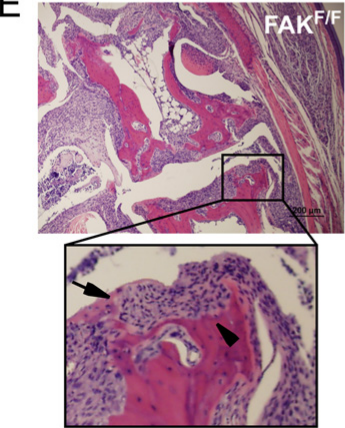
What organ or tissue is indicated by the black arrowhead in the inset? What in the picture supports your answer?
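Bone. The arrowhead sits on dense pink matrix with scattered small lacunae. Cell-rich purple tissue lies in pockets cut into this pink matrix.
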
